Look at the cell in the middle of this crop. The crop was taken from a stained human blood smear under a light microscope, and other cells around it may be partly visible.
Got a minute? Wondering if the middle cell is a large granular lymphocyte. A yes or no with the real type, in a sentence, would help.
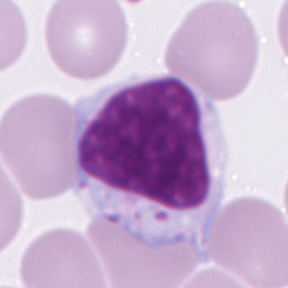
Yes, placed in the middle of the crop is a large granular lymphocyte.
